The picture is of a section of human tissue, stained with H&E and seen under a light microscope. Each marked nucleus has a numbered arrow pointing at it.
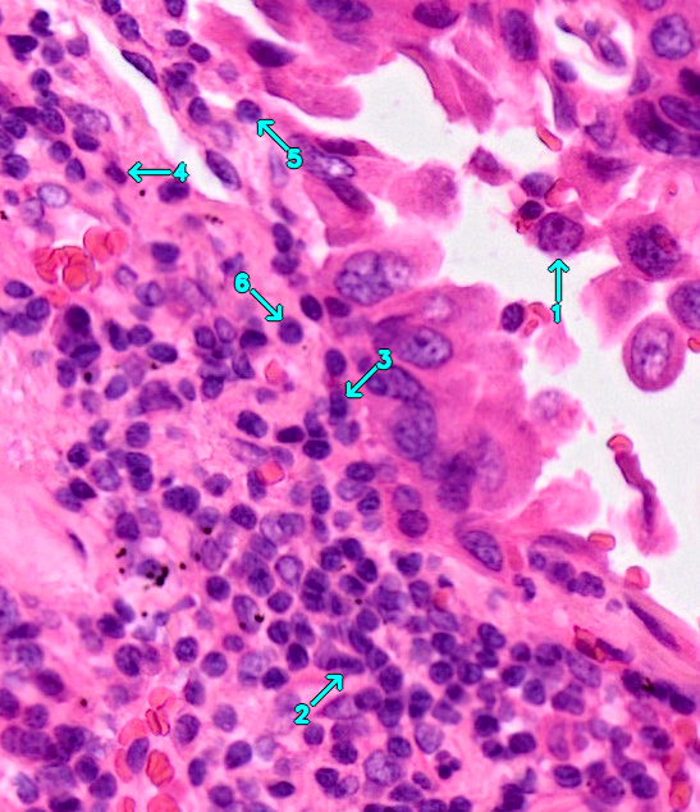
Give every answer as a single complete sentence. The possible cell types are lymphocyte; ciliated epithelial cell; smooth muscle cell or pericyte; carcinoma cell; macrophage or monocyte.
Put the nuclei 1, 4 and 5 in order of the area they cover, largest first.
From largest to smallest, the order is 1, 5, 4.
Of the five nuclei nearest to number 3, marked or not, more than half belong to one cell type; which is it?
The majority of the five nuclei closest to number 3 belong to lymphocytes.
